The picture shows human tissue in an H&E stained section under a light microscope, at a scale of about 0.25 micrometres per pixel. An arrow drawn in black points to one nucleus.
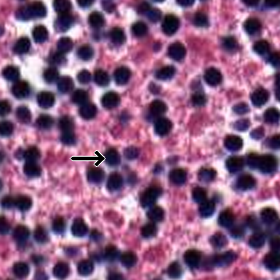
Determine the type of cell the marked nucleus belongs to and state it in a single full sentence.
The nucleus picked out by the mark is that of a cerebellar granule cell.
